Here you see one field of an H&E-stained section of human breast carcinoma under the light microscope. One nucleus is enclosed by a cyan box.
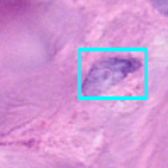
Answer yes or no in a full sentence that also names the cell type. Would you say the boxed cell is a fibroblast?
Yes, the identity of the boxed cell is that of a fibroblast.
